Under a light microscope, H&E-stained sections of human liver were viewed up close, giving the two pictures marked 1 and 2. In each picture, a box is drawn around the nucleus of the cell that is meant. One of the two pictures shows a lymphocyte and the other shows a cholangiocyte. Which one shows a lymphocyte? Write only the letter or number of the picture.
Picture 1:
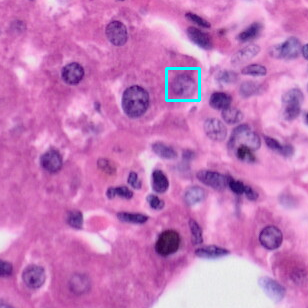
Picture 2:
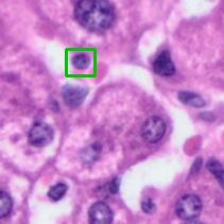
2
